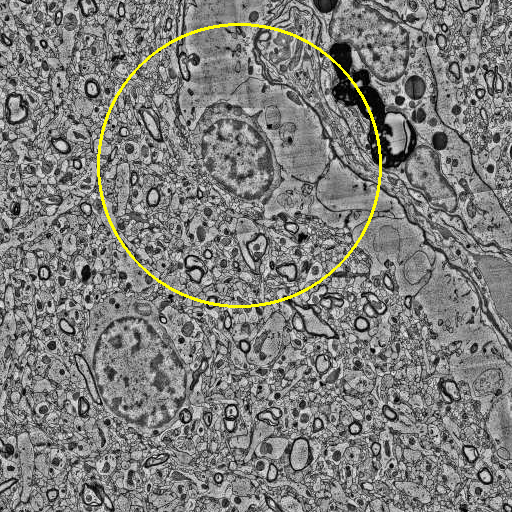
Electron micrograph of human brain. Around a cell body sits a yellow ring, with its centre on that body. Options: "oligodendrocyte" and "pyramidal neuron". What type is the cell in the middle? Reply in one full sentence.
The cell sitting at the centre of the yellow ring is an oligodendrocyte.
